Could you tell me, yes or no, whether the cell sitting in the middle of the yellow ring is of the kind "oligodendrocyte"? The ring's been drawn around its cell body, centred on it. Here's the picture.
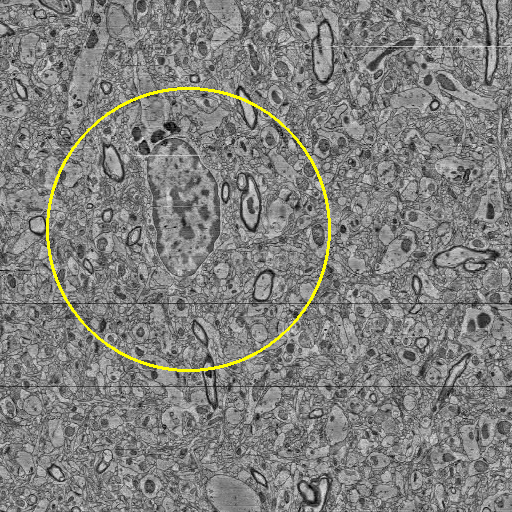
No, it is of another kind.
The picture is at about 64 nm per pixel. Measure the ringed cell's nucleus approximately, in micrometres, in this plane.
In this plane the nucleus is roughly 9 by 4 micrometres, clearly longer than it is wide.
